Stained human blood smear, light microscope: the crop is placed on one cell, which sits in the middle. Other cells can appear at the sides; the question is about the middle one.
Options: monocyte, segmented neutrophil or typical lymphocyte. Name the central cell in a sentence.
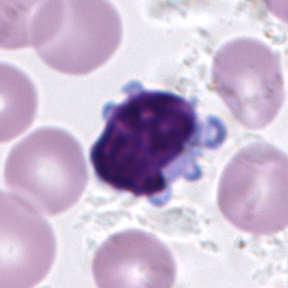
Located at the centre of the crop is a typical lymphocyte.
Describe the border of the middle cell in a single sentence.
Not smooth, the outline of the cell is ragged or drawn out into projections.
